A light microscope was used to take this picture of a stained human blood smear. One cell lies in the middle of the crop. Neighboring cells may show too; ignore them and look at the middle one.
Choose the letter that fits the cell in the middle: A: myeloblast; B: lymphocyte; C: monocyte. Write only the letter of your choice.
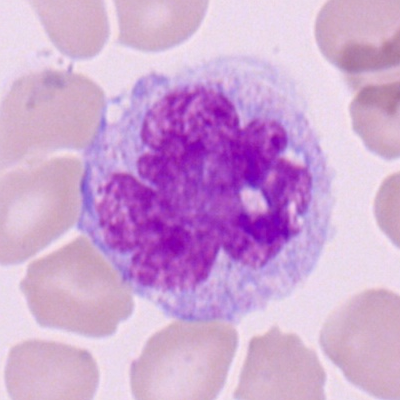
C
